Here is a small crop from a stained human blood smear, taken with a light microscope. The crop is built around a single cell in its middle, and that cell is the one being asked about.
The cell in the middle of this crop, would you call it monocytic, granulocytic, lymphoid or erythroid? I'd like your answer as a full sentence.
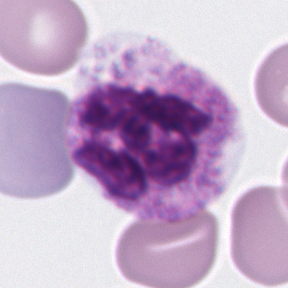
The middle cell is placed in the granulocytic lineage.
